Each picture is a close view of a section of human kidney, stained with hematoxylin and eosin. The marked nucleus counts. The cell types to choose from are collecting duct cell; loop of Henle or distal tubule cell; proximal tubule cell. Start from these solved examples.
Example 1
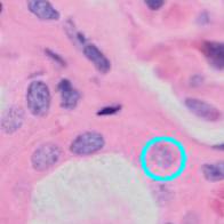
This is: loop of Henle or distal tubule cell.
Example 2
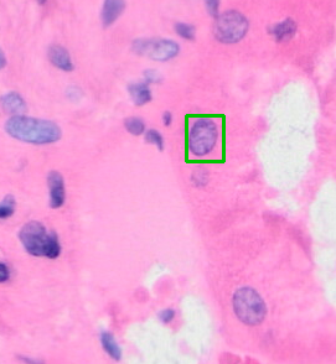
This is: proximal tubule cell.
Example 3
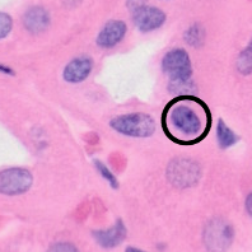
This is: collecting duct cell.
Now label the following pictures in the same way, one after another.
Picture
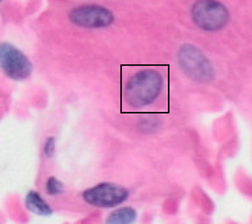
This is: proximal tubule cell.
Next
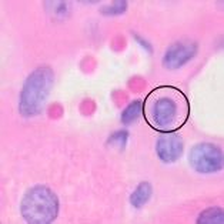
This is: collecting duct cell.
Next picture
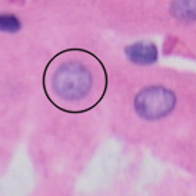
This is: proximal tubule cell.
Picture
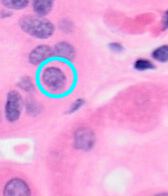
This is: collecting duct cell.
